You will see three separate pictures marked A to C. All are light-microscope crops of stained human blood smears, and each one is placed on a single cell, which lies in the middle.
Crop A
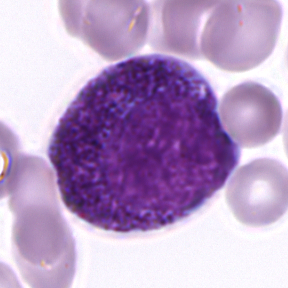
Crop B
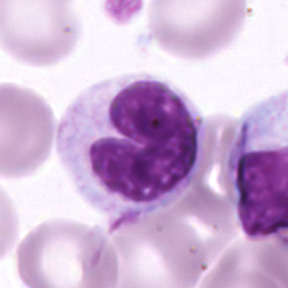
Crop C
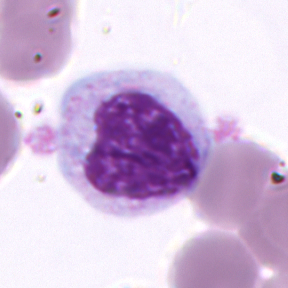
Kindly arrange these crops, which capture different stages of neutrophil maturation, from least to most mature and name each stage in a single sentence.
Counting from the least mature up to the most mature, the order is crop A (a promyelocyte), crop C (a metamyelocyte) and crop B (a band neutrophil).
